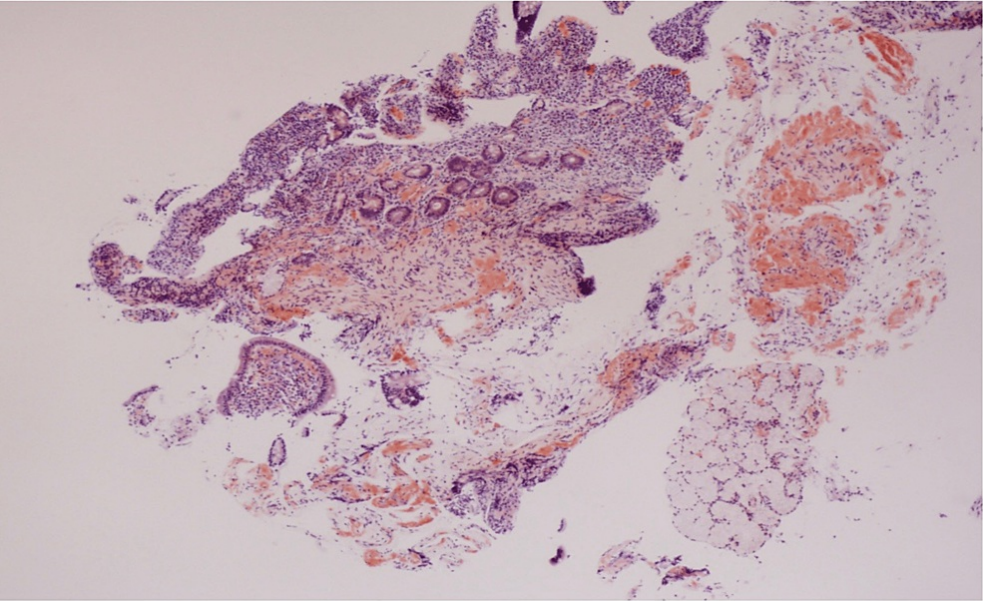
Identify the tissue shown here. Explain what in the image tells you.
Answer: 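Duodenal mucosa. Cross-sectioned round intestinal crypts sit in a cellular lamina propria. A lobule of pale, vacuolated mucous glands lies in the submucosa at the lower right.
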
